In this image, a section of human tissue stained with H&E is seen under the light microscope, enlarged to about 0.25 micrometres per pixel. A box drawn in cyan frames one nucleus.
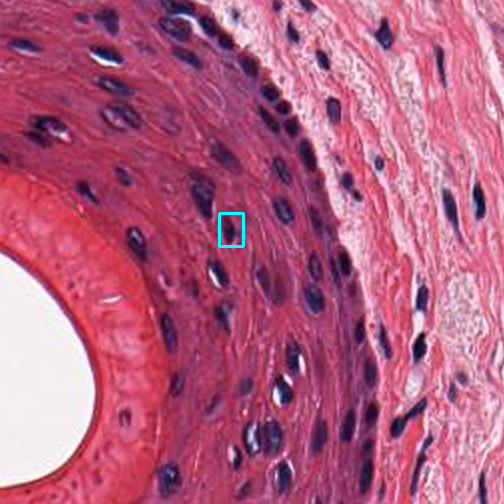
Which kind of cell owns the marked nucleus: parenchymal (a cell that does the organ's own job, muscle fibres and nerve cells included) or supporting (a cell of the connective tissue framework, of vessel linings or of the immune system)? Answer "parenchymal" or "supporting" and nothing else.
parenchymal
